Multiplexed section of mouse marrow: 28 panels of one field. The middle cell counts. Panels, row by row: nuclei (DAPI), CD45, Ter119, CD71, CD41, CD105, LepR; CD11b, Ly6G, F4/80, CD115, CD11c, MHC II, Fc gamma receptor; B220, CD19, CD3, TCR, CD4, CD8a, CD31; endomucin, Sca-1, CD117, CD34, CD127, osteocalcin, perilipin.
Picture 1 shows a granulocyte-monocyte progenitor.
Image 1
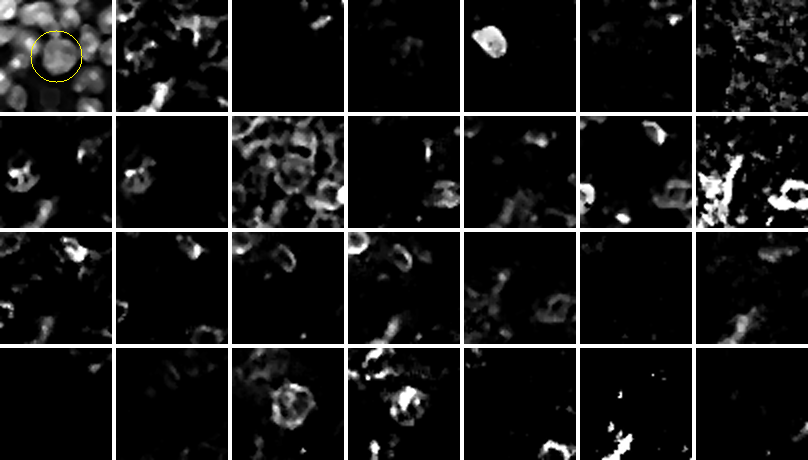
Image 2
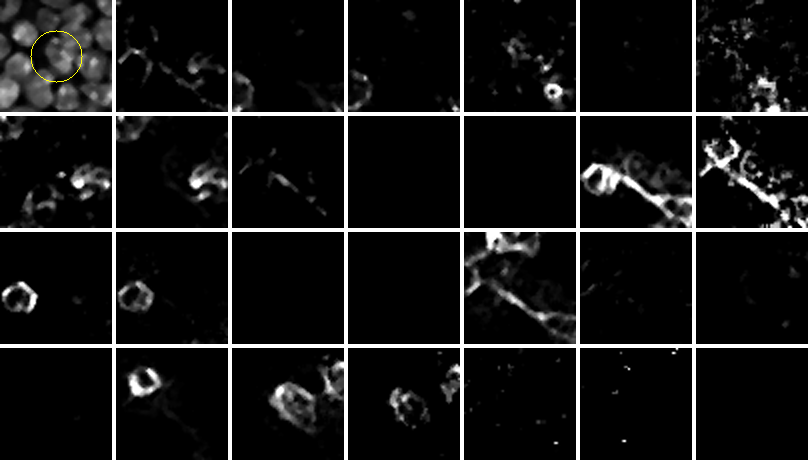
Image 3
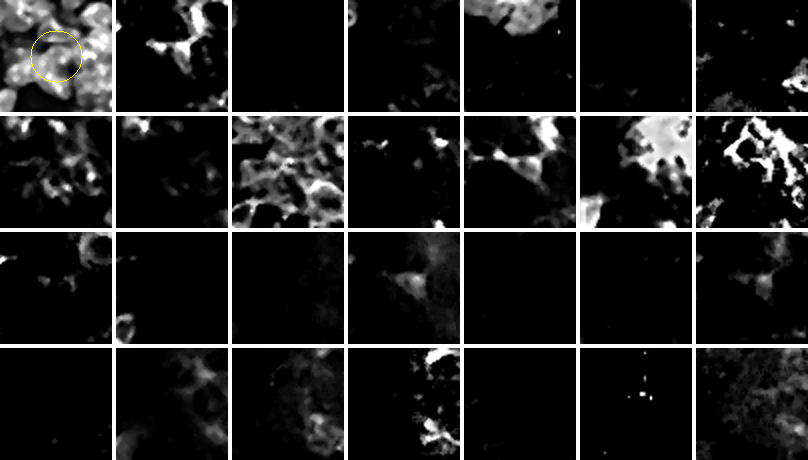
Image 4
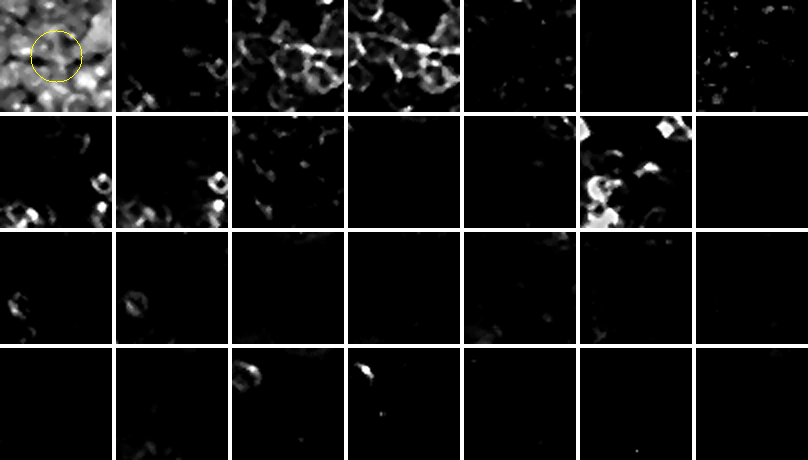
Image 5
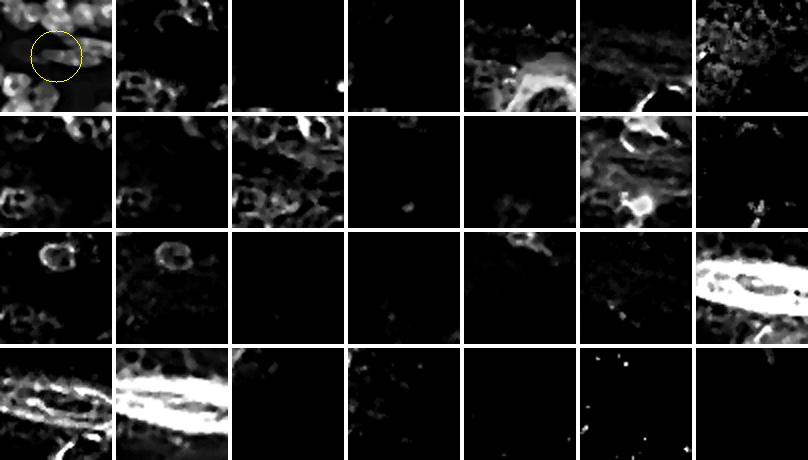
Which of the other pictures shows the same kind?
Picture 2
